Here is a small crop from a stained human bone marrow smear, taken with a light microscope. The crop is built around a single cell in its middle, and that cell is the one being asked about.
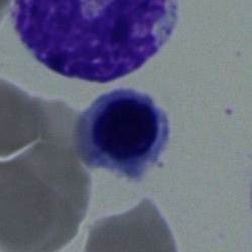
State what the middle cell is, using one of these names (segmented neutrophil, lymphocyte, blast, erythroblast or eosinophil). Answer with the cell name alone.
erythroblast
